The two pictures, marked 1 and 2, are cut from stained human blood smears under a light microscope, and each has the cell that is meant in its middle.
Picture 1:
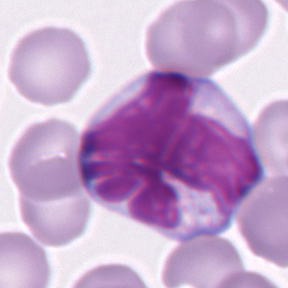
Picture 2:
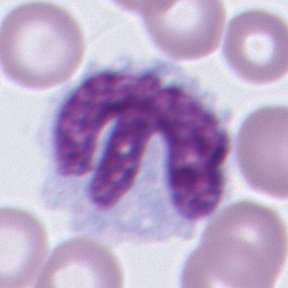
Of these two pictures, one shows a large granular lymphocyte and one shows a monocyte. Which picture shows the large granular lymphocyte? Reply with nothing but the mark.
1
